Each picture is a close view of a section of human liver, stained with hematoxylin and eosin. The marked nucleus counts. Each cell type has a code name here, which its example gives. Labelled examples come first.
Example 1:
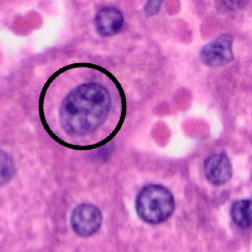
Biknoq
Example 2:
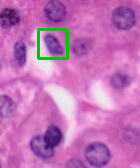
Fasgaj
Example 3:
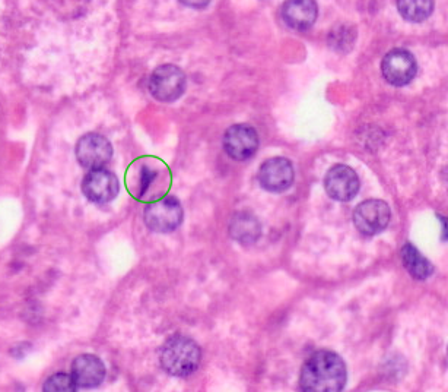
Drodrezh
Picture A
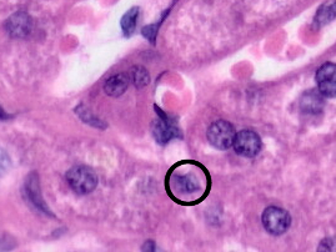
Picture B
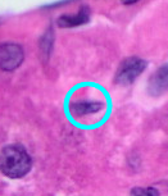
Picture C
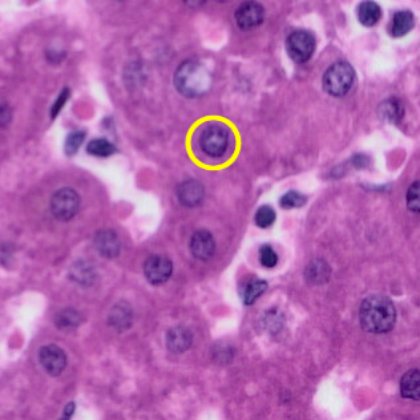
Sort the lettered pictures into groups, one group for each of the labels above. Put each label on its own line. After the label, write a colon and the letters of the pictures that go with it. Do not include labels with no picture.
Biknoq: C
Drodrezh: A, B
